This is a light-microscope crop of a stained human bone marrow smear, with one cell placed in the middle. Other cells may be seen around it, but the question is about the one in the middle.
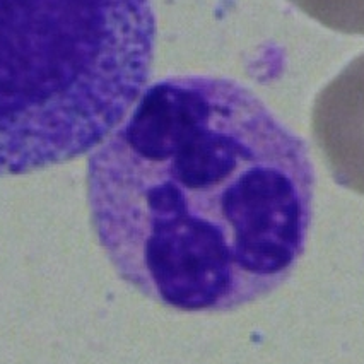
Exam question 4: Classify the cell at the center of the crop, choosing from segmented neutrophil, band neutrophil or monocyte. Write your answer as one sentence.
The cell in the middle of the field of view is a segmented neutrophil.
